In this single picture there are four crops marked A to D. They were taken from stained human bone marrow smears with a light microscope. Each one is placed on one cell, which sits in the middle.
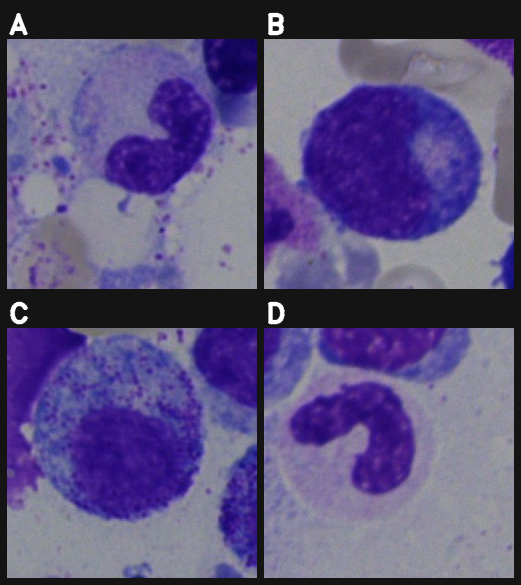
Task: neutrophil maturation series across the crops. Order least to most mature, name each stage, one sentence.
Placed in order of rising maturity, the crops stand as crop B (a promyelocyte), crop C (a myelocyte), crop D (a band neutrophil) and crop A (a segmented neutrophil).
